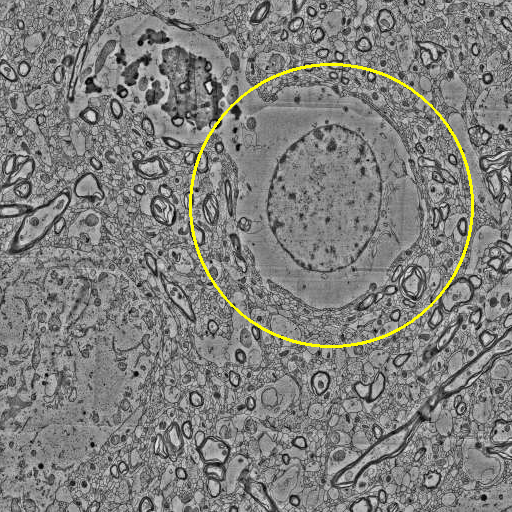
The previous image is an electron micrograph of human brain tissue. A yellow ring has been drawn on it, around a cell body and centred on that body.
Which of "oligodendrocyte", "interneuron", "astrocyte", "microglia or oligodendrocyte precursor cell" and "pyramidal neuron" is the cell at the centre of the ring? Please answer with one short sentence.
The cell body at the centre of the ring belongs to an astrocyte.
